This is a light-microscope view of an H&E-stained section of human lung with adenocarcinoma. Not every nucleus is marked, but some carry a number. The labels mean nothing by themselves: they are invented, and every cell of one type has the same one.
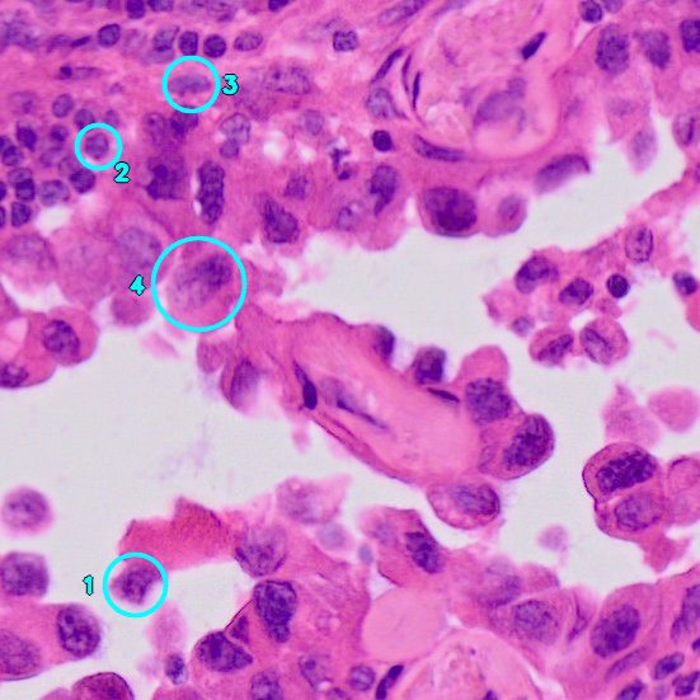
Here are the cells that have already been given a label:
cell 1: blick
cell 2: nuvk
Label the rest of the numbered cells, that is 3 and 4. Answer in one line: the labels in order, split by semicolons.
nuvk; blick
